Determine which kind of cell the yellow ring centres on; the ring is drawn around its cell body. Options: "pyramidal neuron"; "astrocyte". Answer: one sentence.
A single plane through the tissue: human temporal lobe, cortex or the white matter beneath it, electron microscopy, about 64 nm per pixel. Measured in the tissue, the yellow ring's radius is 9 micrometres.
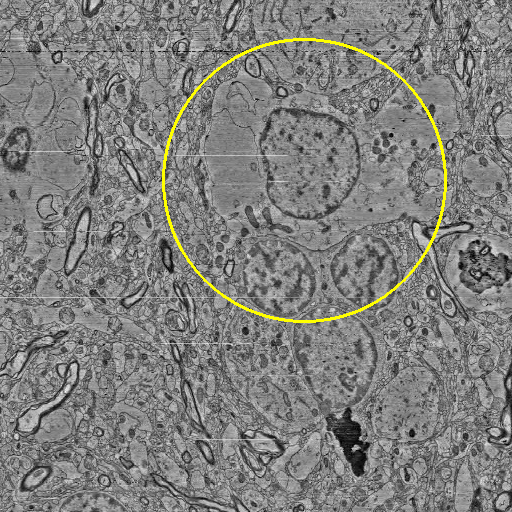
The ring centres on an astrocyte.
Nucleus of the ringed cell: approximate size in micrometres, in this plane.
The nucleus is approximately 7 micrometers across in this plane.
